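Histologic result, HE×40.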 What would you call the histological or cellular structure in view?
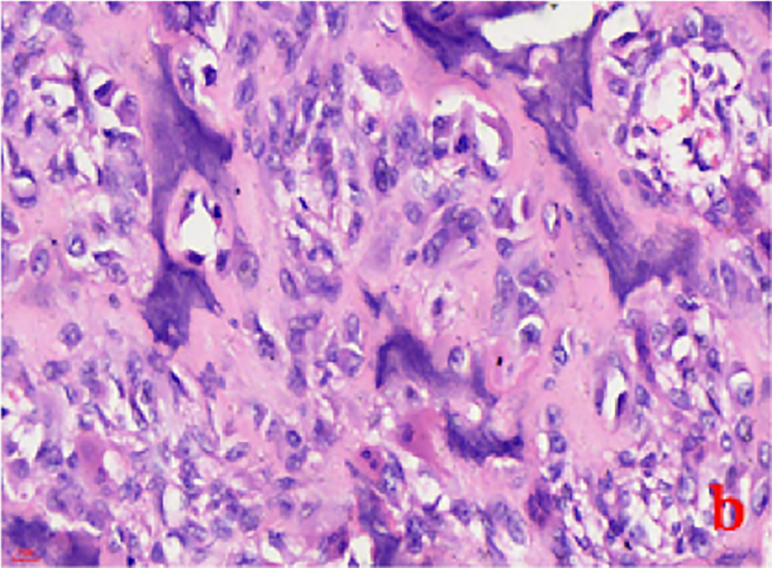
Osteoid tissues.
